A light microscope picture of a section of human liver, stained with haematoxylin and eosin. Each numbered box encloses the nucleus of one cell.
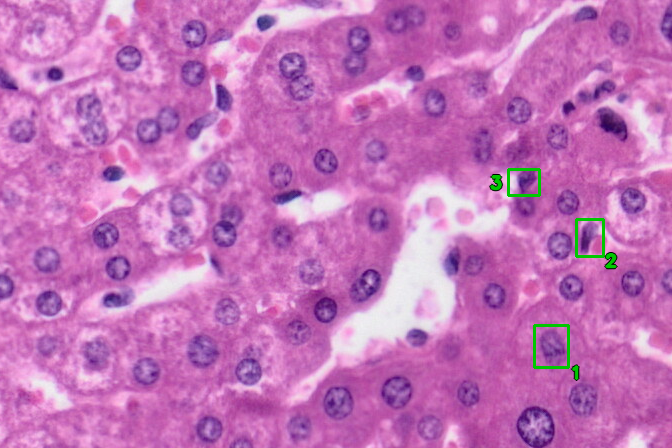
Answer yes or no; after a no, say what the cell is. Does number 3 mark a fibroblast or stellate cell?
Yes.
